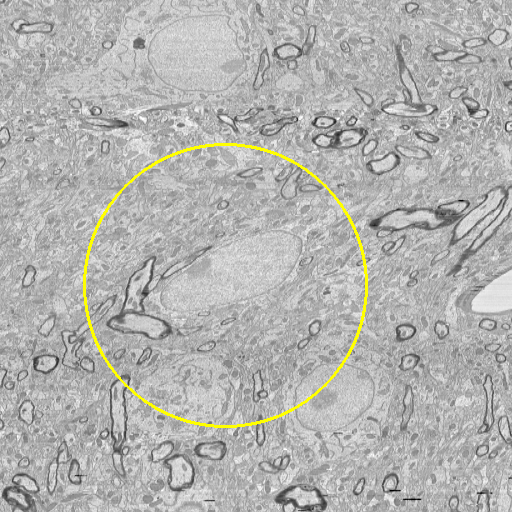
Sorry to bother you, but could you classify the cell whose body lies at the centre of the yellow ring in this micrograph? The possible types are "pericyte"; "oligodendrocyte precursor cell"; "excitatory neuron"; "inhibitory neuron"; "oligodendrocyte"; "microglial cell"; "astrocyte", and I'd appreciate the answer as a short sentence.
The ringed cell body is that of an astrocyte.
